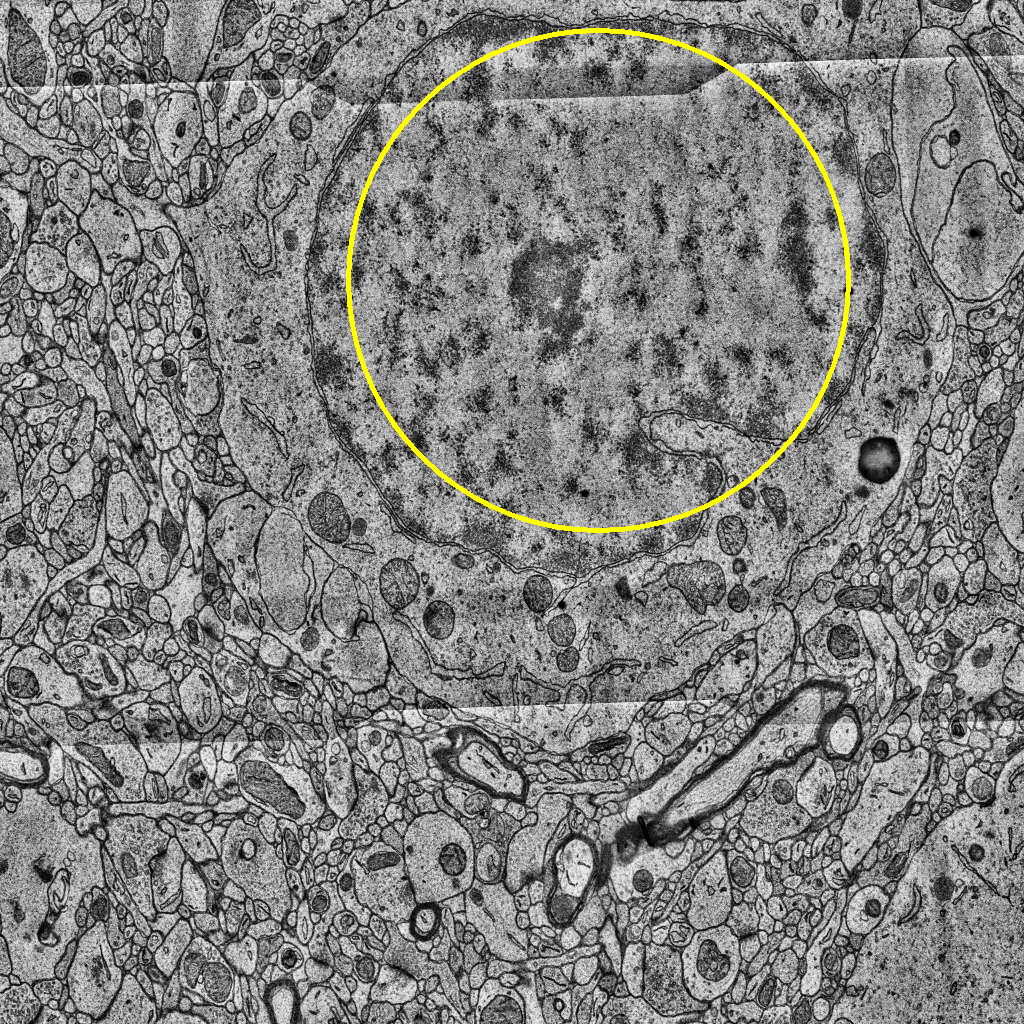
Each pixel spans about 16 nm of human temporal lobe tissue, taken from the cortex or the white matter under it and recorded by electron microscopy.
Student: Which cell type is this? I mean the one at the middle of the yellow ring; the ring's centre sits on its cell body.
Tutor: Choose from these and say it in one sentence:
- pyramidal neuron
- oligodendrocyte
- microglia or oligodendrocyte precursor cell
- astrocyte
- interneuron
The cell at the ring's centre is an interneuron.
